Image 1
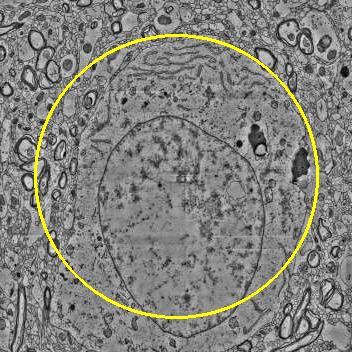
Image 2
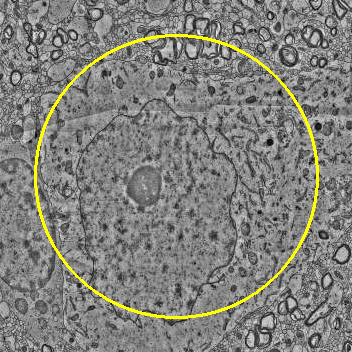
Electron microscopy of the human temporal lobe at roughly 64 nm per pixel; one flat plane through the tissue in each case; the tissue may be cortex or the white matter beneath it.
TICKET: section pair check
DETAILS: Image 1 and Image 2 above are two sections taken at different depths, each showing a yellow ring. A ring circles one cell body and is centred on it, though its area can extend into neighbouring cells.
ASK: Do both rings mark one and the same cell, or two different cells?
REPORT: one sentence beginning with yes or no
No, each ring encloses a different cell in the tissue.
